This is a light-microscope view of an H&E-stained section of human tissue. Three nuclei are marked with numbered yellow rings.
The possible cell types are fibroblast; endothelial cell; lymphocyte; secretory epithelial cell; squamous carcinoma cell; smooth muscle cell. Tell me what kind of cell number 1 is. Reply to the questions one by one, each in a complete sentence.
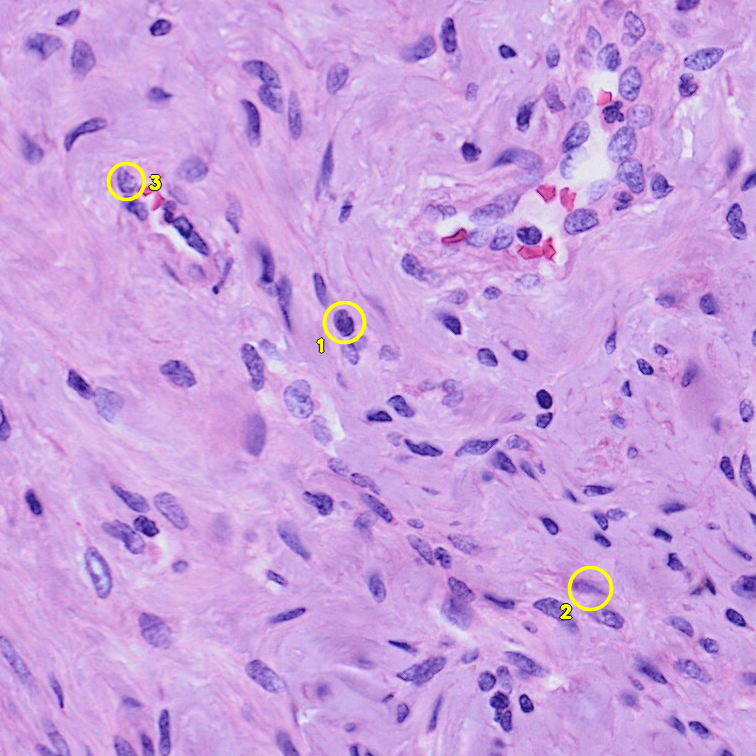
The cell indicated with the number 1 is classed as a lymphocyte.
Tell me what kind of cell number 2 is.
The marked nucleus 2 is that of a smooth muscle cell.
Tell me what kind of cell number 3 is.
Corresponding to an endothelial cell is the cell labelled 3.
